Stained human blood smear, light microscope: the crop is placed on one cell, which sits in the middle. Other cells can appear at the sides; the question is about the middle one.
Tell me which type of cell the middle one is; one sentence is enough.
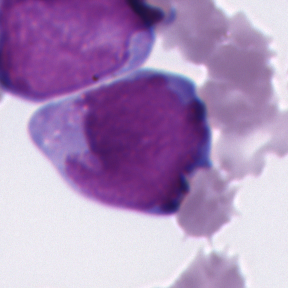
The cell centered in this field of view is a blast.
